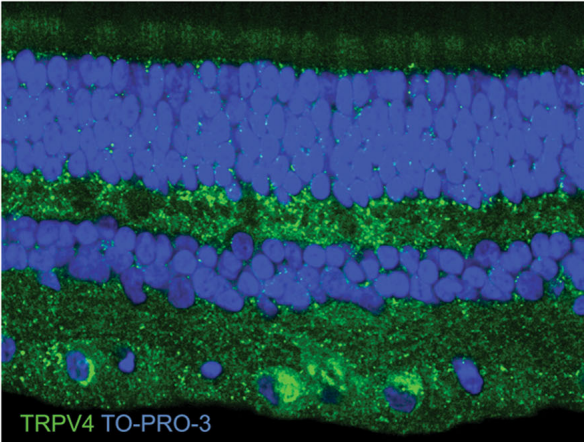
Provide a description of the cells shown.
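A vertical section of retina shows a thick outer nuclear layer of tightly packed blue nuclei, a band of dense green puncta in the outer plexiform layer, a thinner inner nuclear layer, a broad green-dotted inner plexiform layer, and a ganglion cell layer of scattered larger nuclei. In the nuclear layers the green dots are sparse and lie around the cell bodies, while some large ganglion layer cells have bright green cytoplasm around a dark nucleus.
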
